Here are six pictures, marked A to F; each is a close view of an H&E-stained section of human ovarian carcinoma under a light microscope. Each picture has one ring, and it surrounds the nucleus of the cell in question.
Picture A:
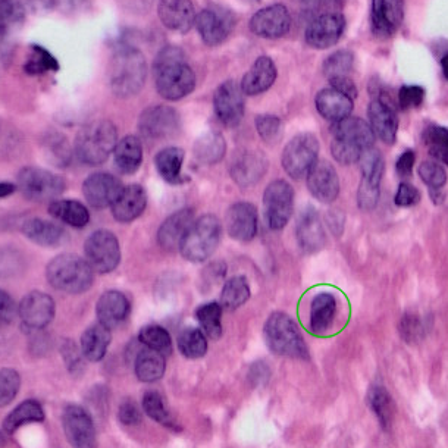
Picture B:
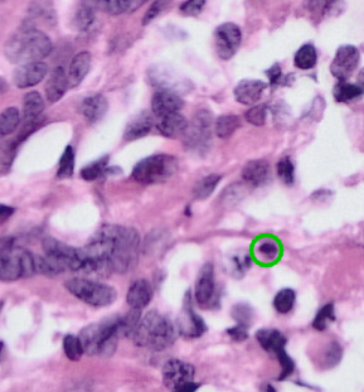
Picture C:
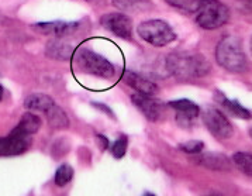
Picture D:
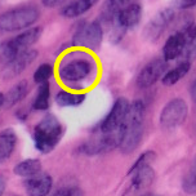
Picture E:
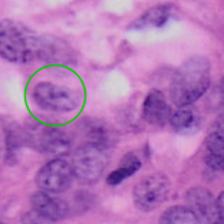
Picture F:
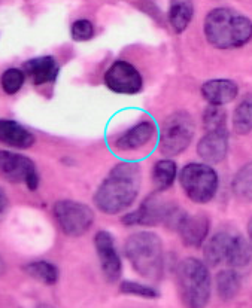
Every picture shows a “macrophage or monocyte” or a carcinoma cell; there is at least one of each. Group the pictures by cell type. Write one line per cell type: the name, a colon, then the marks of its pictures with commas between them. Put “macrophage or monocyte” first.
macrophage or monocyte: A, B, D, E
carcinoma cell: C, F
